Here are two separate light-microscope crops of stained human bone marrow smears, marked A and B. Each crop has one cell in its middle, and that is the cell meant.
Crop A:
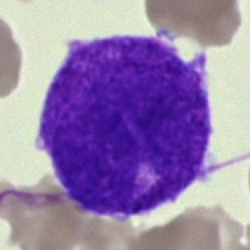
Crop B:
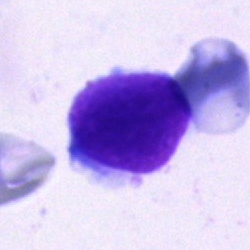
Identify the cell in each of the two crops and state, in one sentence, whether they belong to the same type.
No, cell A is a blast, and cell B is a lymphocyte.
